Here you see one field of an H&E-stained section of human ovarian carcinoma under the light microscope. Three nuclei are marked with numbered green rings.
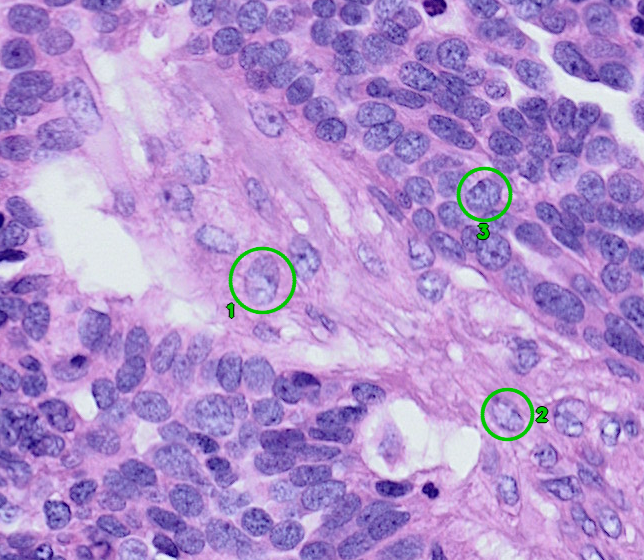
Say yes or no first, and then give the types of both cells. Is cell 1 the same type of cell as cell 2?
Yes, the cell labelled 1 and the cell labelled 2 are both fibroblasts.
